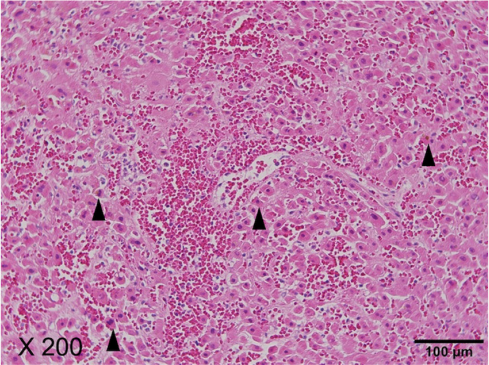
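This is liver tissue around a small central vein in which the normal plates of hepatocytes are broken up by wide spaces filled with red blood cells. Hepatocytes, pink polygonal cells with round nuclei, lie singly or in small irregular groups rather than in orderly radiating cords. Red blood cells fill the dilated sinusoids and crowd the area around the thin-walled vein in the centre. Some of the scattered hepatocytes look shrunken or pale compared with the others.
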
